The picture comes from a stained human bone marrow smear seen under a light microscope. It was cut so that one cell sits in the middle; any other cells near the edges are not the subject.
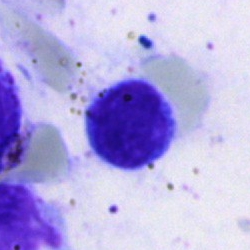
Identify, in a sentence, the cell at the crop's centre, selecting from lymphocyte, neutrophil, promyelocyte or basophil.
The cell positioned in the middle of the field is a lymphocyte.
